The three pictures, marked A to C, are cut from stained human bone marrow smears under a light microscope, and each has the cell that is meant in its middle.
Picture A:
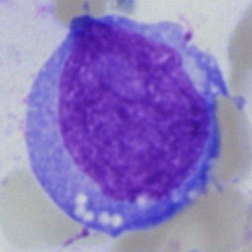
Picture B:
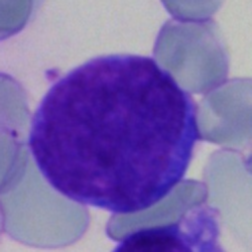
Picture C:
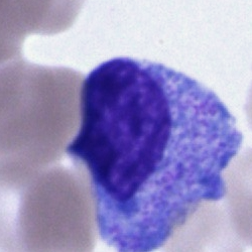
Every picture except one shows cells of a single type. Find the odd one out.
C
